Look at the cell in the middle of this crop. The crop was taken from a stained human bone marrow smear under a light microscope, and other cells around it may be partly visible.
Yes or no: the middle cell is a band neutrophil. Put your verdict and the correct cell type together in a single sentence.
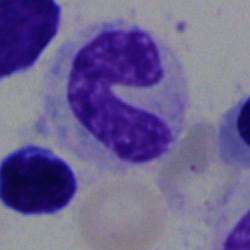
Yes, the cell that the crop is centered on is a band neutrophil.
